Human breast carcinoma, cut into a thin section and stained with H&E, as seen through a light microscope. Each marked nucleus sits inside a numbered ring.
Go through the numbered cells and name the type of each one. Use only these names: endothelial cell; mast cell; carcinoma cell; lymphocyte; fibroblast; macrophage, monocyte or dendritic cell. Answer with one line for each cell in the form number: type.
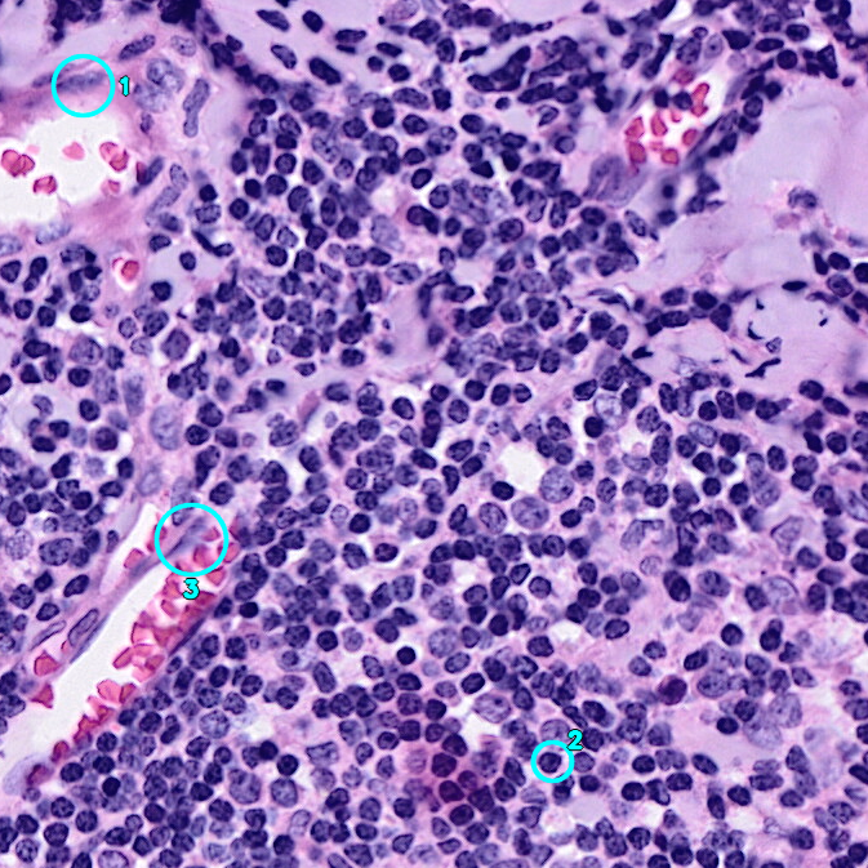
1: endothelial cell
2: lymphocyte
3: endothelial cell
